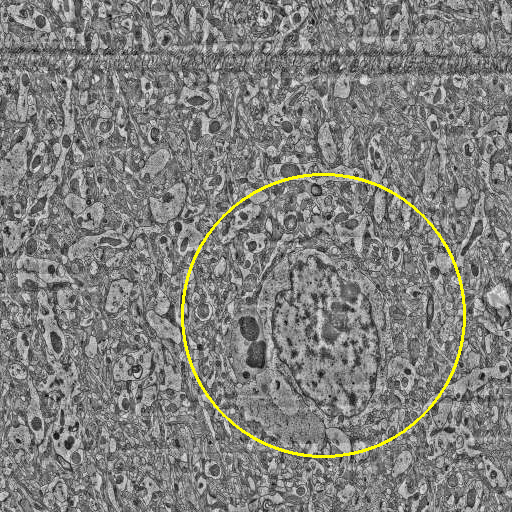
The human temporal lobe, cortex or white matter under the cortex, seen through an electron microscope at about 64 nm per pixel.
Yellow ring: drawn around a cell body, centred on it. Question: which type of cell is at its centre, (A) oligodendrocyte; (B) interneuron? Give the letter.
B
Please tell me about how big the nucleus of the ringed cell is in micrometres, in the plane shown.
Approximately 10 by 7 micrometers in this plane.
